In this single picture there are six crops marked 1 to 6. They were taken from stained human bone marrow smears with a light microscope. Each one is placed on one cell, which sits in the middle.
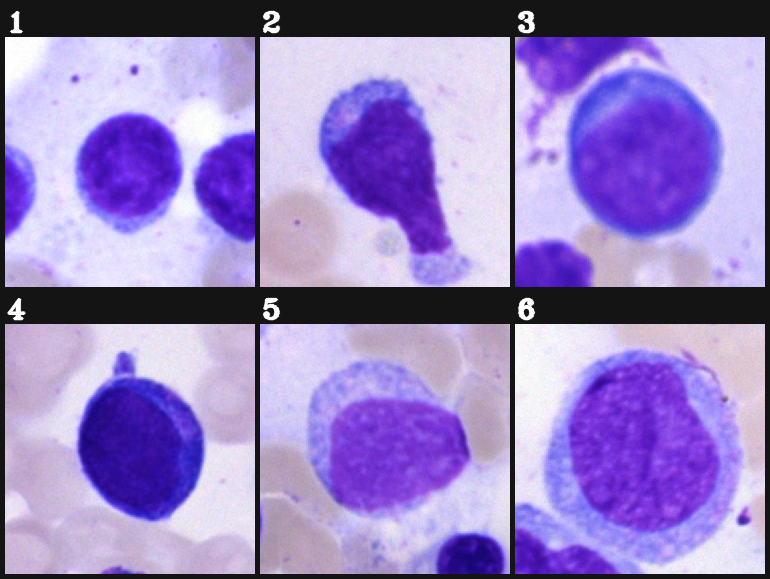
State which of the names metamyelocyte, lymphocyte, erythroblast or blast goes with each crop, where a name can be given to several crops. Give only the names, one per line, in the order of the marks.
lymphocyte
blast
blast
blast
blast
blast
